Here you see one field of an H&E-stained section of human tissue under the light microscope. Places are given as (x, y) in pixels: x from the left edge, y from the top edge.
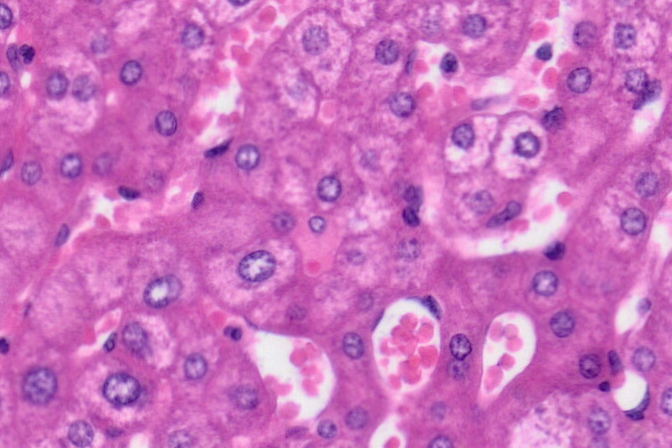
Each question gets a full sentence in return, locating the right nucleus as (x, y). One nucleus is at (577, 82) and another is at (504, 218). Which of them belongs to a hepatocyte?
Of the two options, the nucleus at (577, 82) is the one that belongs to a hepatocyte.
